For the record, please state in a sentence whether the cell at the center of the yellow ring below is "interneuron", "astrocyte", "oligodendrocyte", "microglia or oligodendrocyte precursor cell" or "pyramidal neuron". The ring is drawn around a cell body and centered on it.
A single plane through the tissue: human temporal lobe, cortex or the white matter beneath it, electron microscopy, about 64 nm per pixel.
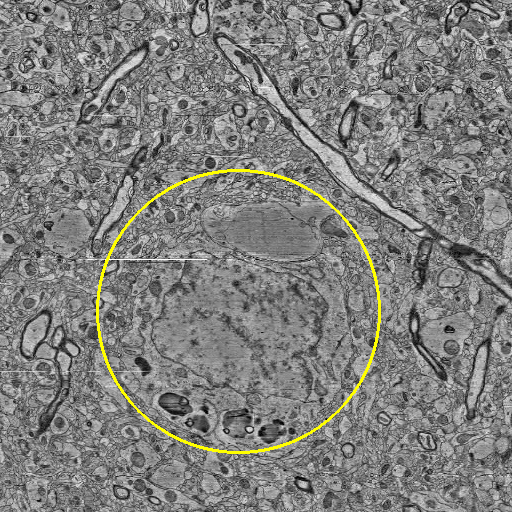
The cell at the ring's center is an interneuron.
